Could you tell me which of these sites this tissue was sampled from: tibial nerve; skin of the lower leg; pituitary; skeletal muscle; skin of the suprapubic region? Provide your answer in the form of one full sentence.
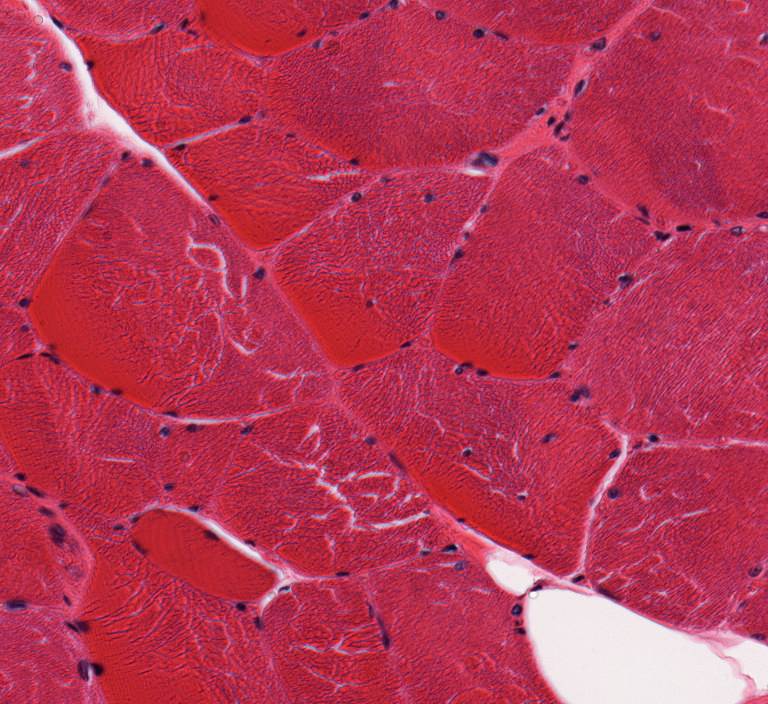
This section consists of tissue sampled from the skeletal muscle.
